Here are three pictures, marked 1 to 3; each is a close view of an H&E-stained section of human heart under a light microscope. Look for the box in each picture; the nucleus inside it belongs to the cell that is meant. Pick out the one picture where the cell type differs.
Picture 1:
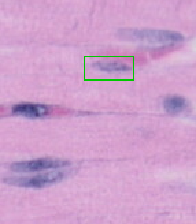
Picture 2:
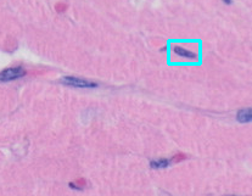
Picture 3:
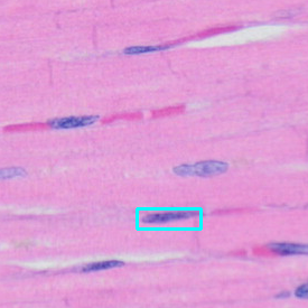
2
